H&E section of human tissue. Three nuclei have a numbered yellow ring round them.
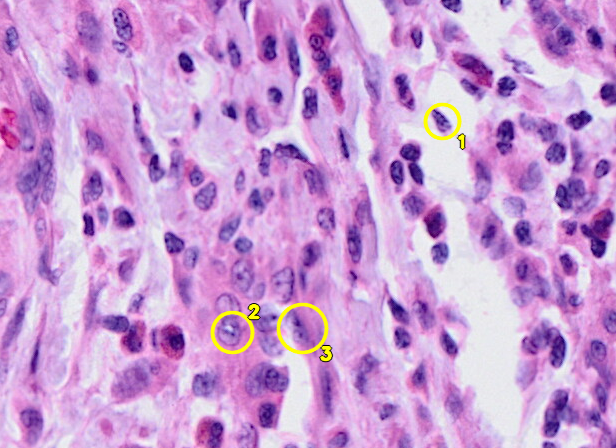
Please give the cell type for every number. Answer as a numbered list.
1. lymphocyte
2. endothelial cell
3. endothelial cell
